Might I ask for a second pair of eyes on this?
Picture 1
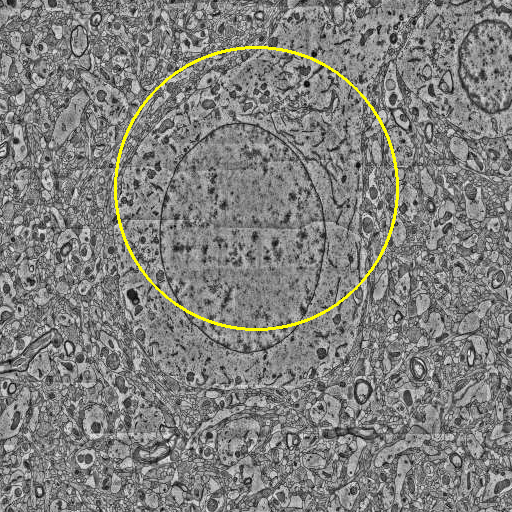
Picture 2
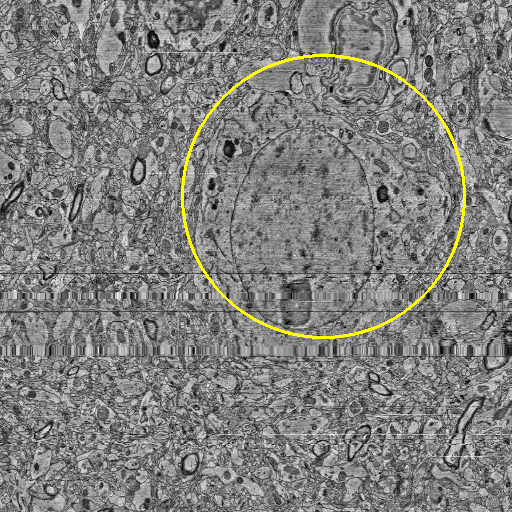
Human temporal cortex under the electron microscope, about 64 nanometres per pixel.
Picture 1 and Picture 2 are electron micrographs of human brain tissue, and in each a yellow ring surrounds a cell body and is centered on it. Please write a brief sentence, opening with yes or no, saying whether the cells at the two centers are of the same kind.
Yes, the cells are of the same kind.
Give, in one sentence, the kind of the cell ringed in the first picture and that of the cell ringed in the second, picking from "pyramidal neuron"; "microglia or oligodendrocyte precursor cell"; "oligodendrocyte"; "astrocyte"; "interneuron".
In each of the two pictures, the ringed cell is a pyramidal neuron.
